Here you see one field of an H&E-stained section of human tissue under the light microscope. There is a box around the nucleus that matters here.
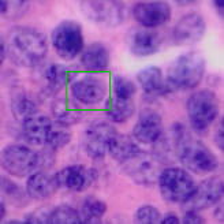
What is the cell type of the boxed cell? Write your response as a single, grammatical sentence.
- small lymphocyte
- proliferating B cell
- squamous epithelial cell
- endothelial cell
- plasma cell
As far as its identity is concerned, the boxed cell is a proliferating B cell.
